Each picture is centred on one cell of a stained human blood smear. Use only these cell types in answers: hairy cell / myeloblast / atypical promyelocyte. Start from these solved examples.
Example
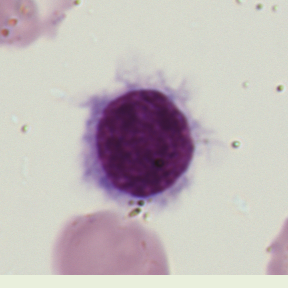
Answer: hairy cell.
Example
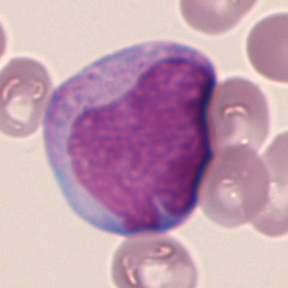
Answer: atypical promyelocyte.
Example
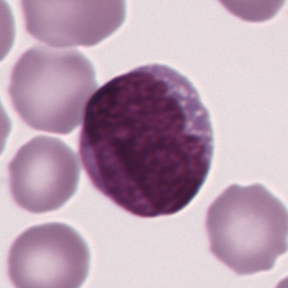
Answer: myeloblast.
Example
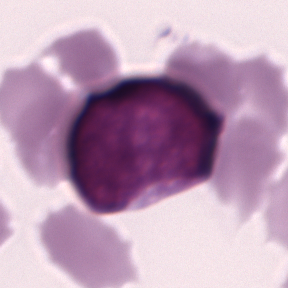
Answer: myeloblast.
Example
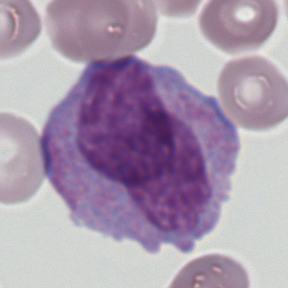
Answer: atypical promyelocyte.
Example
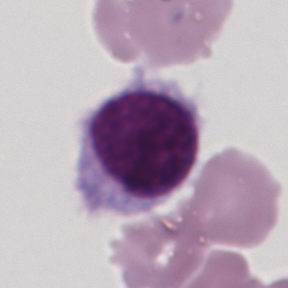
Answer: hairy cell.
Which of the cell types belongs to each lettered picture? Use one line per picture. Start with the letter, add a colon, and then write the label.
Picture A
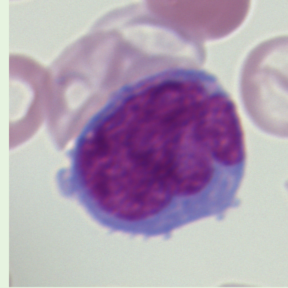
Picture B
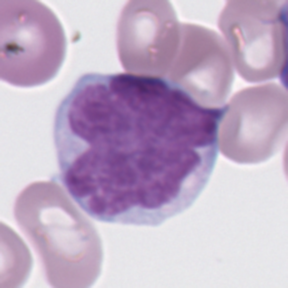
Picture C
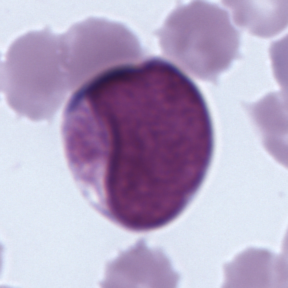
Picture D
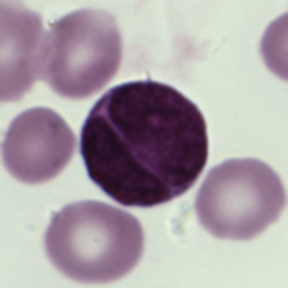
A: myeloblast.
B: atypical promyelocyte.
C: myeloblast.
D: myeloblast.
